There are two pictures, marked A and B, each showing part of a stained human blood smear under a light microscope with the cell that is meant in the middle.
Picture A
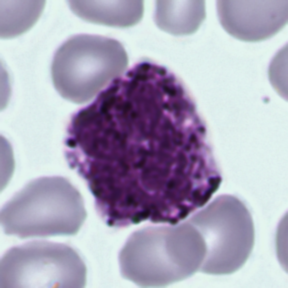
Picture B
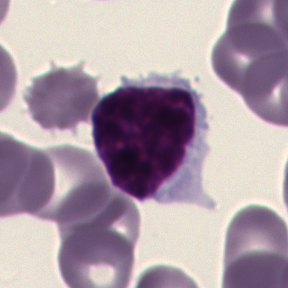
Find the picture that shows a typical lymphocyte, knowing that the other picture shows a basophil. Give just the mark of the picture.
B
